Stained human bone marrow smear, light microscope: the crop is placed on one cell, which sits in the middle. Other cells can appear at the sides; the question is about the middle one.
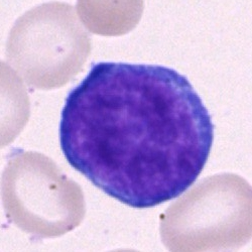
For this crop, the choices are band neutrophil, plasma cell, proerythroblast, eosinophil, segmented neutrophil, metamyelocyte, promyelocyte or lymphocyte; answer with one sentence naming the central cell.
The cell in the exact centre of the crop is a proerythroblast.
